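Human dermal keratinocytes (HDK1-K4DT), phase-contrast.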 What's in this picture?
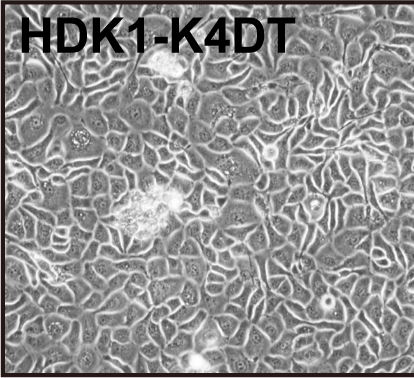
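The cells are small and polygonal with bright outlines and dark, granular nuclei. A few bright, rounded cells sit above the sheet here and there.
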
